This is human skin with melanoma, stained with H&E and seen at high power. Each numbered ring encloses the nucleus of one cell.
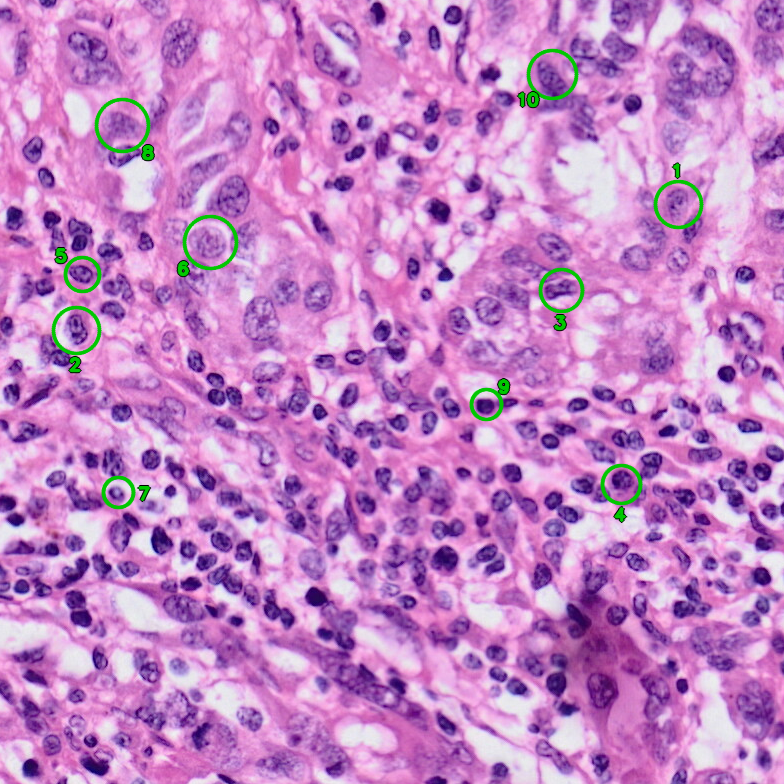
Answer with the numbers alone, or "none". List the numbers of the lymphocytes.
7, 9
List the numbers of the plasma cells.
2, 4, 5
